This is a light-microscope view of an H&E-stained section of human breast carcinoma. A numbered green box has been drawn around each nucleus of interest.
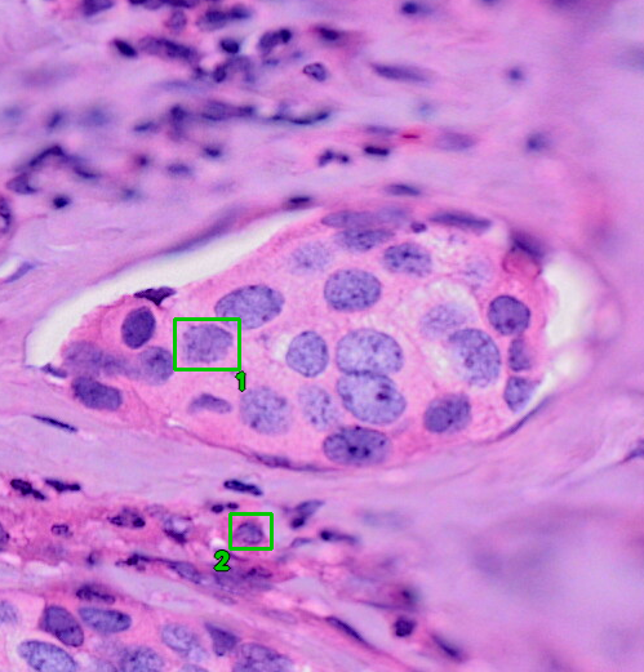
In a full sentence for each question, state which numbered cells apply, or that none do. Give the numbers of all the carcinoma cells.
Cell 1 is a carcinoma cell, while every other numbered cell is not.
